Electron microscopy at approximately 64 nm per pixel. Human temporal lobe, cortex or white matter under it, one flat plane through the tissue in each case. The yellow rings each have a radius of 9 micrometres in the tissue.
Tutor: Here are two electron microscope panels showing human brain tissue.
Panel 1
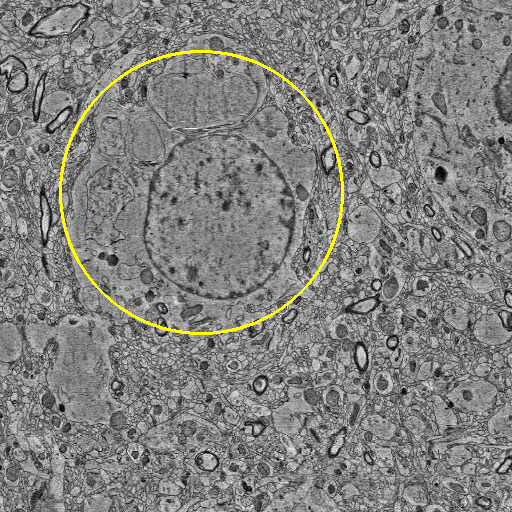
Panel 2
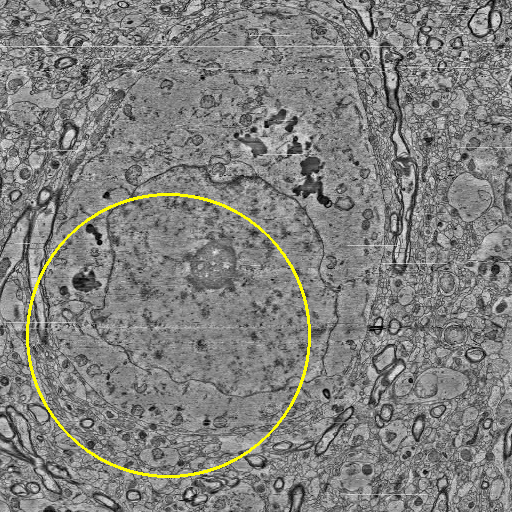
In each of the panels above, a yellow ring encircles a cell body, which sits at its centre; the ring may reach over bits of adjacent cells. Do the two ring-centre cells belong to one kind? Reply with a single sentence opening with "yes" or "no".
No, the two cells sitting at the ring centres in the panels belong to two kinds.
